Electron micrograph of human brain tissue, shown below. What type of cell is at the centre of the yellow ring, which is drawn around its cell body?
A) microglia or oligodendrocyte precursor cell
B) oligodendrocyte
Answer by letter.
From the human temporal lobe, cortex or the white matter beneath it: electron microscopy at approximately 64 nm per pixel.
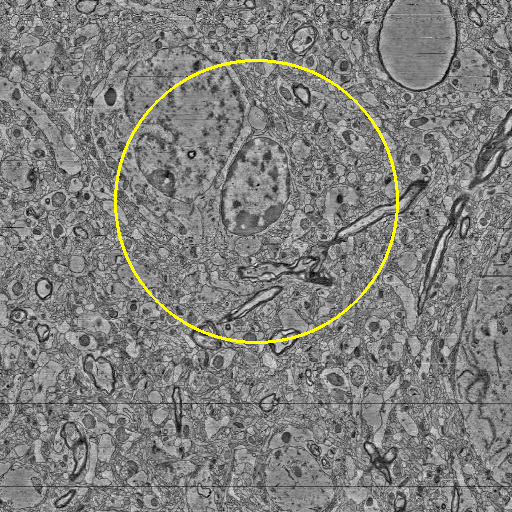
A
